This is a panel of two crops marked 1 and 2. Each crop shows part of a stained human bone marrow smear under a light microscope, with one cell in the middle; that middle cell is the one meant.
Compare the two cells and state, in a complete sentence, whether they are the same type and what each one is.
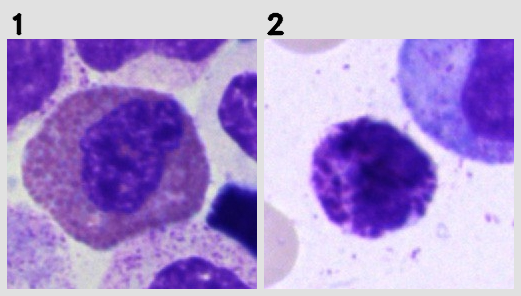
No, crop 1 and crop 2 contain, respectively, an eosinophil and a basophil.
